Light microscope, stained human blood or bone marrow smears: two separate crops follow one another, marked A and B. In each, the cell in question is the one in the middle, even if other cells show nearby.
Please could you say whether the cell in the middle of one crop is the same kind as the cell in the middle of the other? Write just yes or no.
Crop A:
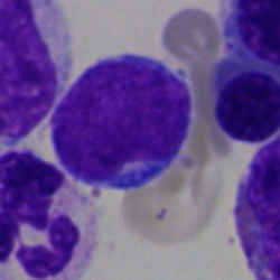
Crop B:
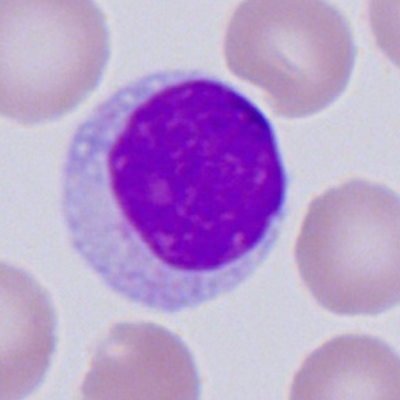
yes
